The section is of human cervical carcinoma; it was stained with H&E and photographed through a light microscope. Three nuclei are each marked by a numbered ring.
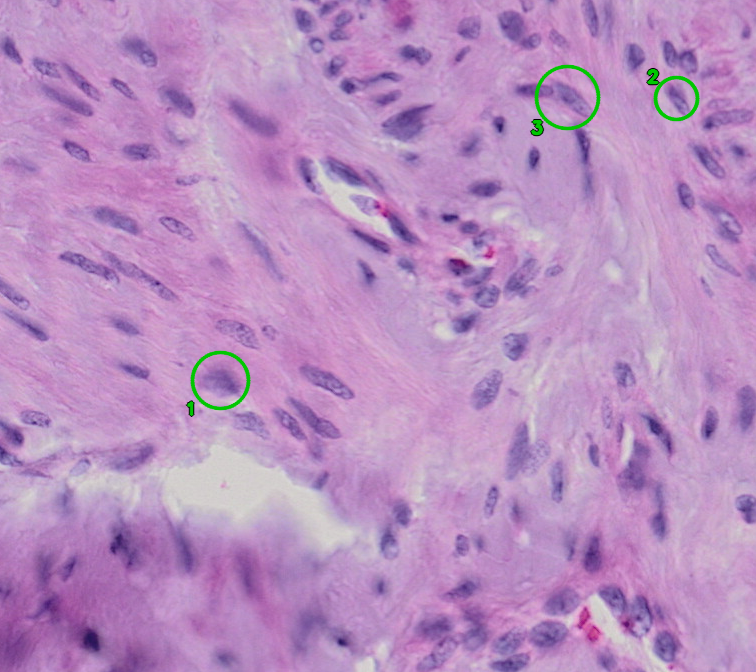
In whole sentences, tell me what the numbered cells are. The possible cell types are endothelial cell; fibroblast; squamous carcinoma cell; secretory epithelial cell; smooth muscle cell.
Cell 1 is a fibroblast. Cells 2 and 3 are smooth muscle cells.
